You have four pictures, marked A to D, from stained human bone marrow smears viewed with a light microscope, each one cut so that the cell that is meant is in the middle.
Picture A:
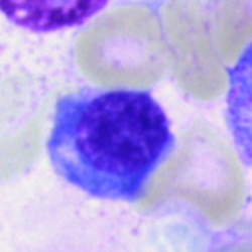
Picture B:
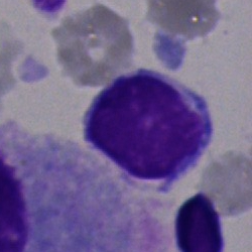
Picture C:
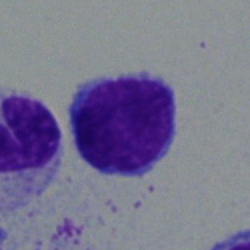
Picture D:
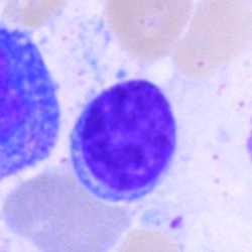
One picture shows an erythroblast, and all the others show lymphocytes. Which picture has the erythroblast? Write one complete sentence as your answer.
It is picture A that shows the erythroblast.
